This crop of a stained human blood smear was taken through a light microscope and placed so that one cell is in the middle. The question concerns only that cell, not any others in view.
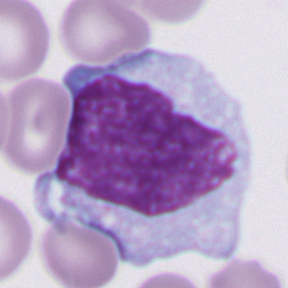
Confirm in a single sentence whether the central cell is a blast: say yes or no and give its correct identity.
No, at the middle of the crop is a monocyte, not a blast.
